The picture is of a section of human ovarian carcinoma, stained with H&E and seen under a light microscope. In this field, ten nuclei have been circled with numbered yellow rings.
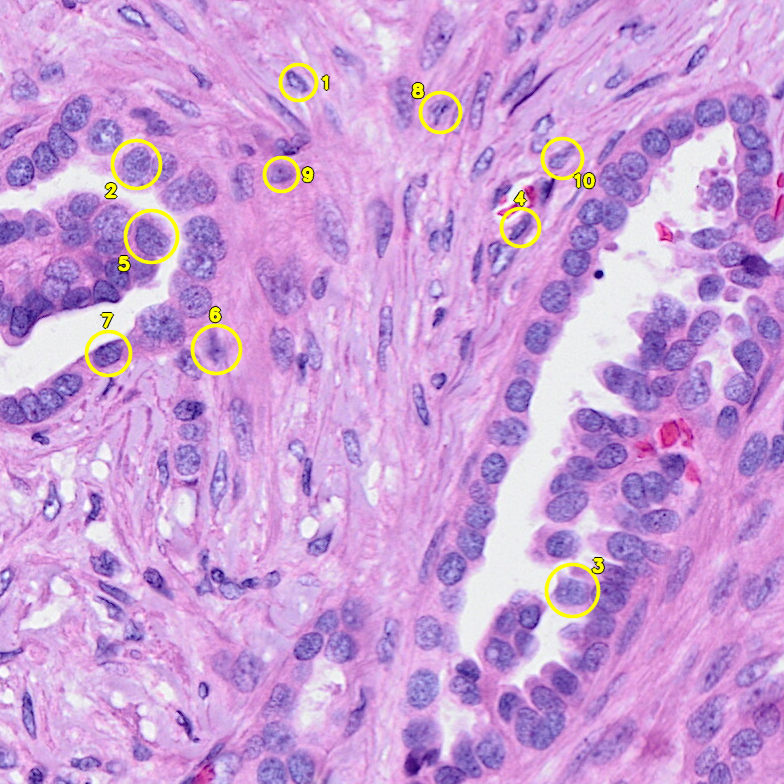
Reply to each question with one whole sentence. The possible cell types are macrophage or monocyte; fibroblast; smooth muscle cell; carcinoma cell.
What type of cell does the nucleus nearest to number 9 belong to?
Number 9 lies closest to the nucleus of a macrophage or monocyte.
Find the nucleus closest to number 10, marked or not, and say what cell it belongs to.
Number 10 lies closest to the nucleus of a fibroblast.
